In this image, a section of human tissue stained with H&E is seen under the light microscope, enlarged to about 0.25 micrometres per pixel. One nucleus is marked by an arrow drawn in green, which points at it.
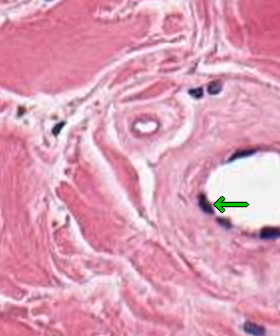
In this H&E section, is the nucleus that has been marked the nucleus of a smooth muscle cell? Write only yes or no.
no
